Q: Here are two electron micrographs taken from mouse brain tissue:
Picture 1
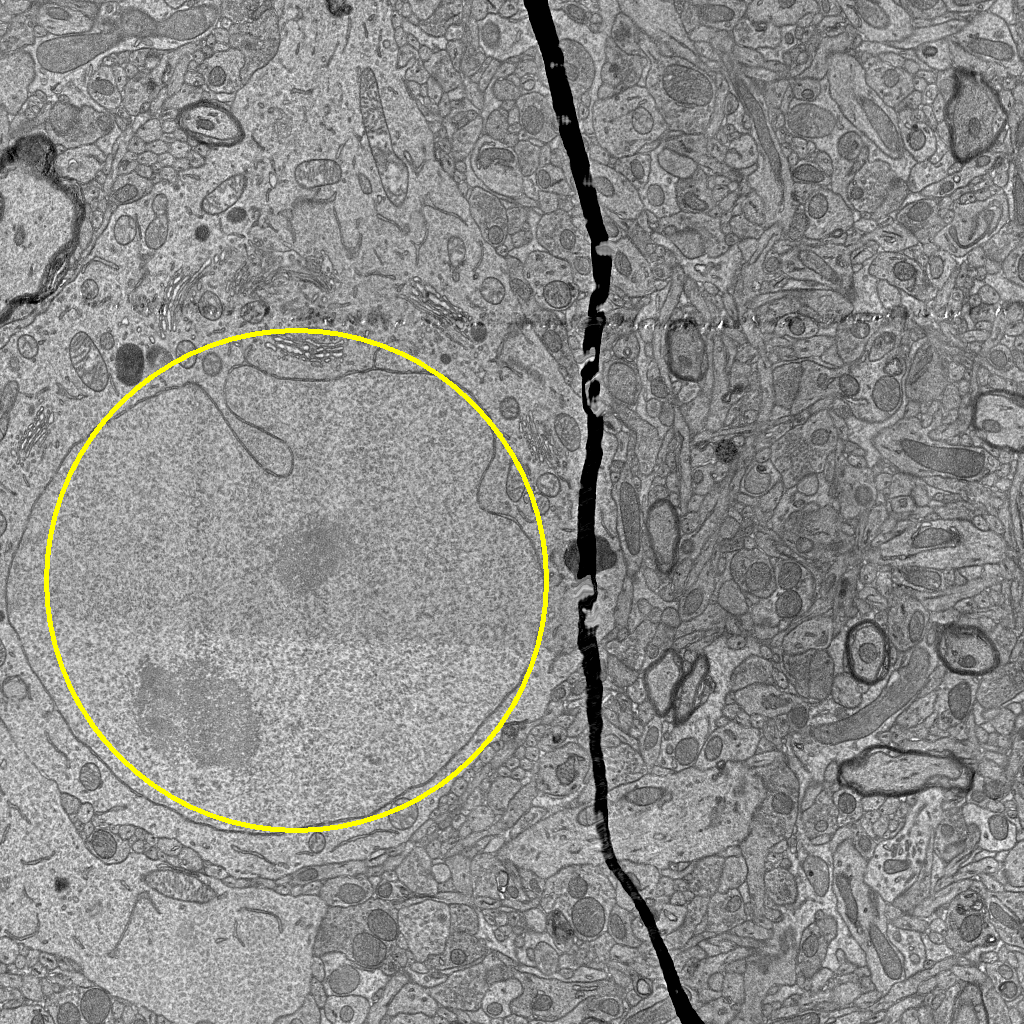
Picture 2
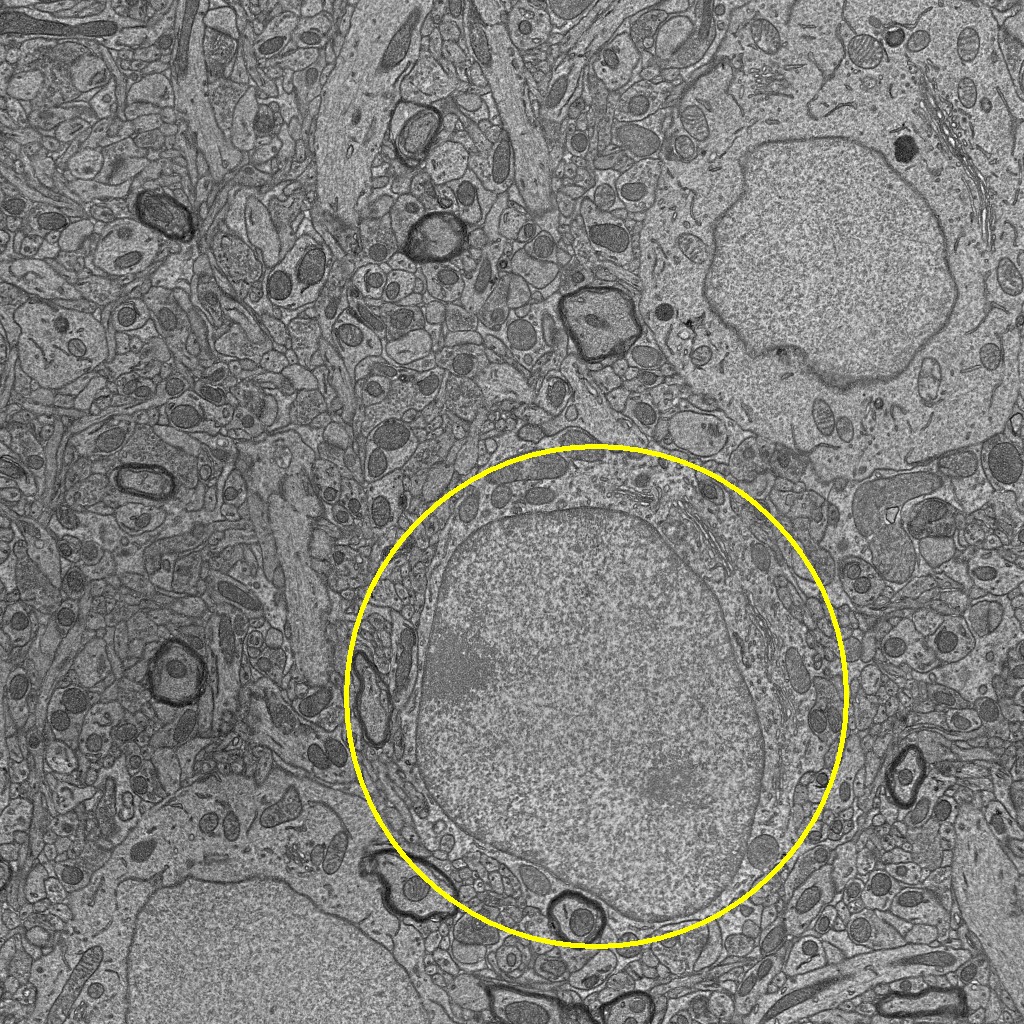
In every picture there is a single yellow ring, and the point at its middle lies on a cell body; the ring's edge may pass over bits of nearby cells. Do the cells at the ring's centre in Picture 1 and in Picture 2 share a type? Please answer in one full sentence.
No, the cells at the ring's centre in Picture 1 and Picture 2 are of two types.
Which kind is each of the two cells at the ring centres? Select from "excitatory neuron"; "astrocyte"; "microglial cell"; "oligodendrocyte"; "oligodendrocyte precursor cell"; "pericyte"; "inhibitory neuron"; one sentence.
The first ring encloses an excitatory neuron; the second ring encloses an astrocyte.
